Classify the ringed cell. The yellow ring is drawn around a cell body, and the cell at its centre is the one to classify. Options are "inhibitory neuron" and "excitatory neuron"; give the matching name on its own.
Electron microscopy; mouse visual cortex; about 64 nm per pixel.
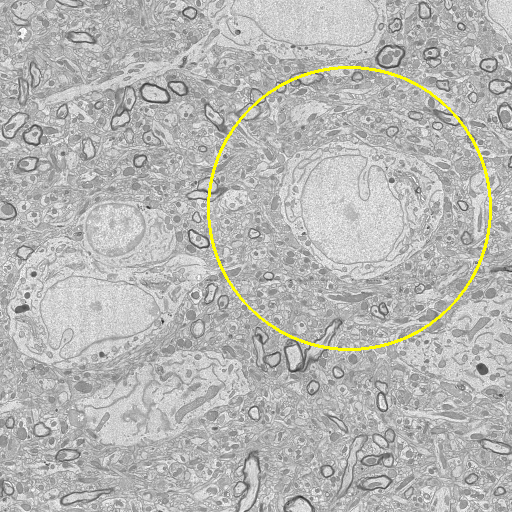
inhibitory neuron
